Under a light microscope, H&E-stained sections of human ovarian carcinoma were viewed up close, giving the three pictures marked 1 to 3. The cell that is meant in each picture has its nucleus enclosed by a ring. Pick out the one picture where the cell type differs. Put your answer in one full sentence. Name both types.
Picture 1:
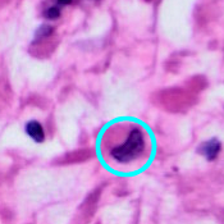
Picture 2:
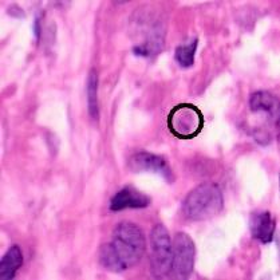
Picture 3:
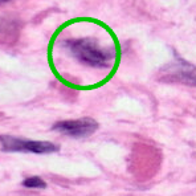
All pictures except 3 show “macrophages or monocytes”; picture 3 shows a fibroblast.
